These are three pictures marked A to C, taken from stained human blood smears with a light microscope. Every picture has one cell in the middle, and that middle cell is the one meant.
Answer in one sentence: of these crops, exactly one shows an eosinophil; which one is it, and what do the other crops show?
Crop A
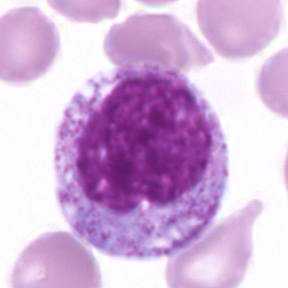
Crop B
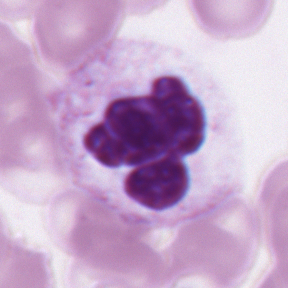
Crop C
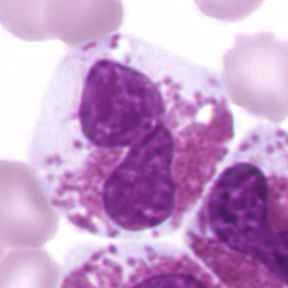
Crop C shows an eosinophil in its middle, while crop A is a myelocyte and crop B is a segmented neutrophil.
